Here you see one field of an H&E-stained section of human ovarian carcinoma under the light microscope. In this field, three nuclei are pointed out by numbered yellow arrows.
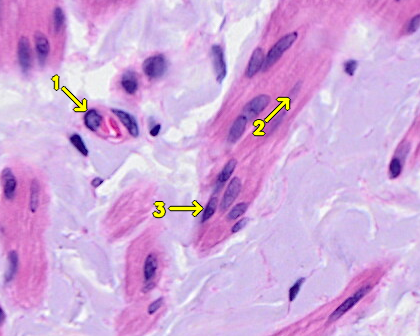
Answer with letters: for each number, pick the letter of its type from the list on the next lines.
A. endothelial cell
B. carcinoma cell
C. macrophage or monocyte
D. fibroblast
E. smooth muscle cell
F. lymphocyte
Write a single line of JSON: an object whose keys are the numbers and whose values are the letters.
{"1": "A", "2": "E", "3": "E"}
